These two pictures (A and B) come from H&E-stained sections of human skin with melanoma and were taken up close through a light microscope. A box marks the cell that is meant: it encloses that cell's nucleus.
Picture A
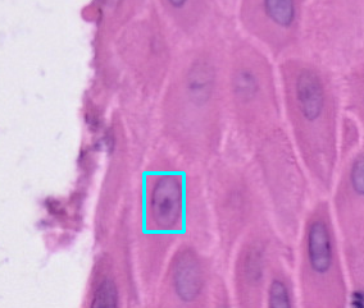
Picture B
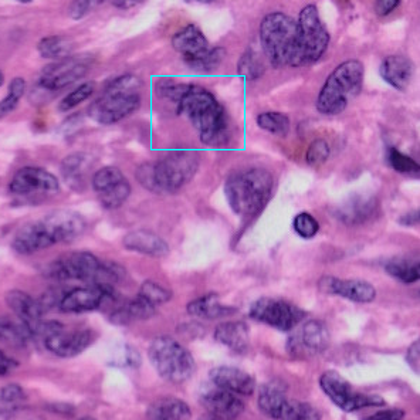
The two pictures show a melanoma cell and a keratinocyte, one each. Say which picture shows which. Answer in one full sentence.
It is picture A that shows a keratinocyte, and picture B that shows a melanoma cell.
